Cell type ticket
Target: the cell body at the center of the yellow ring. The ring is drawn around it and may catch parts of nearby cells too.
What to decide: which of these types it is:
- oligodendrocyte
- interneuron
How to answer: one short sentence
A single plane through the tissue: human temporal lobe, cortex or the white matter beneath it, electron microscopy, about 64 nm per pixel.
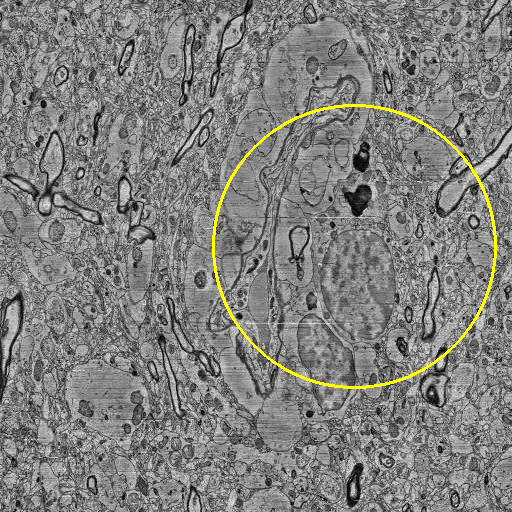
The cell at the center of the ring is an oligodendrocyte.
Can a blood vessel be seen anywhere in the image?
Yes, a vessel appears in the picture.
